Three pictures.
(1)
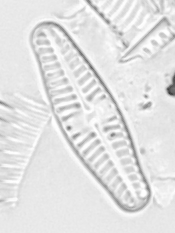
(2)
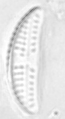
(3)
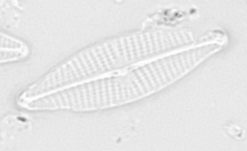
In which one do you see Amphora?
In picture 2.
